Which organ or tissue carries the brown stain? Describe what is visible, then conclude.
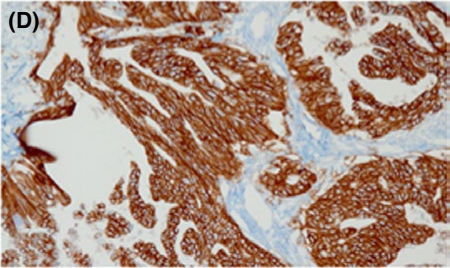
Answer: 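Brown stain fills large papillary and glandular epithelial masses. Intervening light blue stroma is unstained.
Hence: tumor lesions.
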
